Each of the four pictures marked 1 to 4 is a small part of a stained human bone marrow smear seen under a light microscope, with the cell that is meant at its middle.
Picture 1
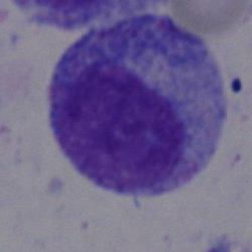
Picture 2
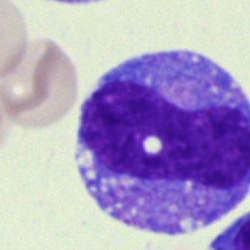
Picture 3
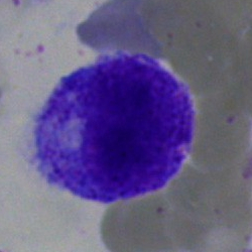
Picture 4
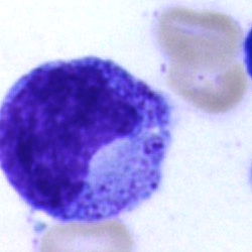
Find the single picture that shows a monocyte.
2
